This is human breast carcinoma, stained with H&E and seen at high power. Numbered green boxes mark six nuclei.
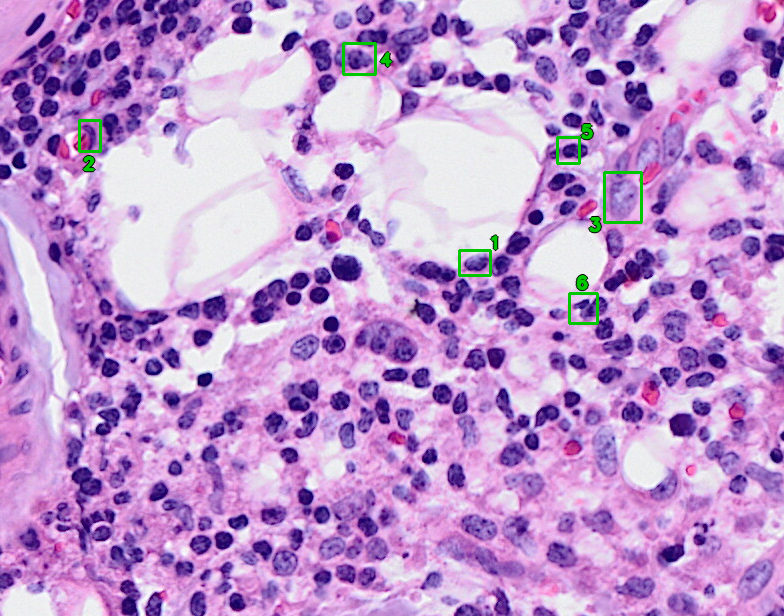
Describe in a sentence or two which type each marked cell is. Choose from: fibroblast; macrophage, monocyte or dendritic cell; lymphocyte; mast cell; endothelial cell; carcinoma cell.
Cells 1, 4, 5 and 6 are lymphocytes. Cells 2 and 3 are endothelial cells.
